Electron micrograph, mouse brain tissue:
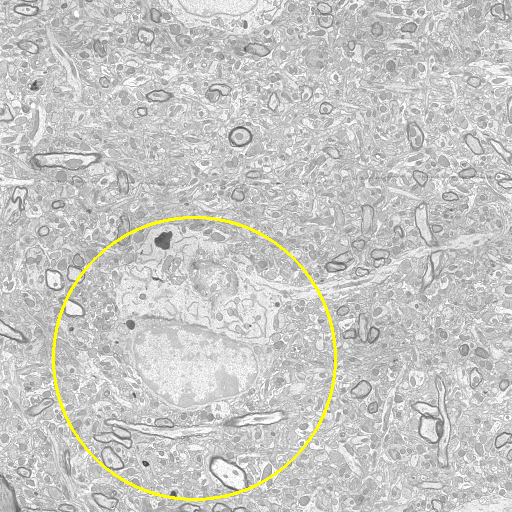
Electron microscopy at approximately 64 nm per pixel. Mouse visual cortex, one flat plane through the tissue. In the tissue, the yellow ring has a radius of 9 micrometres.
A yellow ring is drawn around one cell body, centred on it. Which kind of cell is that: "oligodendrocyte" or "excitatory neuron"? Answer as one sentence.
It is an oligodendrocyte at the centre of the ring.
